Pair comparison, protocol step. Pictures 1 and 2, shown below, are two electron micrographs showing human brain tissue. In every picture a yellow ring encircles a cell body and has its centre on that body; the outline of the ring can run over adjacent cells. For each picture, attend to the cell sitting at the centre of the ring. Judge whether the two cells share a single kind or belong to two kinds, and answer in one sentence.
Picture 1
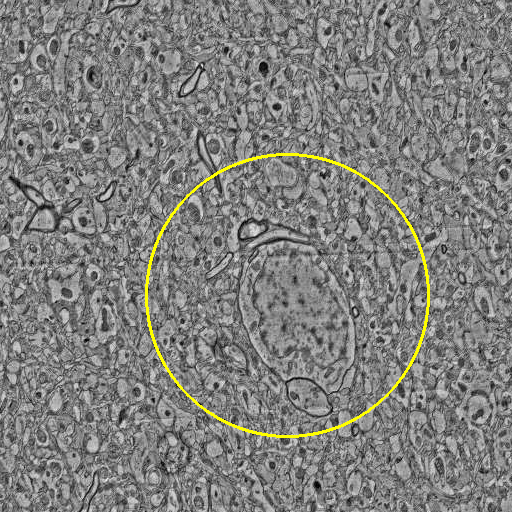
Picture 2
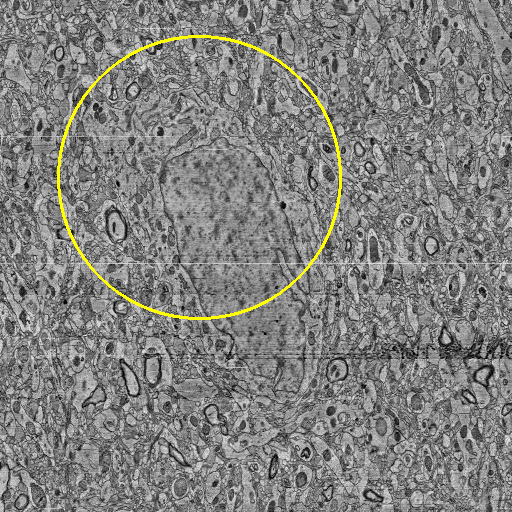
The two cells at the ring centres in Picture 1 and Picture 2 share a single kind.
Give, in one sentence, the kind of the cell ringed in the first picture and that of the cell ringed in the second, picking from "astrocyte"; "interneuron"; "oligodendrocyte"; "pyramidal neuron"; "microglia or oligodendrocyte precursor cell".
In both pictures the ring is centred on an interneuron.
